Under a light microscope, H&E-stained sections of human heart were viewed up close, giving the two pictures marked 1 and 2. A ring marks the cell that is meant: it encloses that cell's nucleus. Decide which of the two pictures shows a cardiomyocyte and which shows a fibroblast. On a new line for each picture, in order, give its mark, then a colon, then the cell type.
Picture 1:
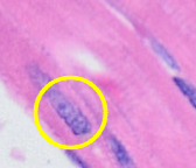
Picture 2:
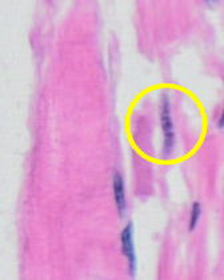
1: cardiomyocyte
2: fibroblast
